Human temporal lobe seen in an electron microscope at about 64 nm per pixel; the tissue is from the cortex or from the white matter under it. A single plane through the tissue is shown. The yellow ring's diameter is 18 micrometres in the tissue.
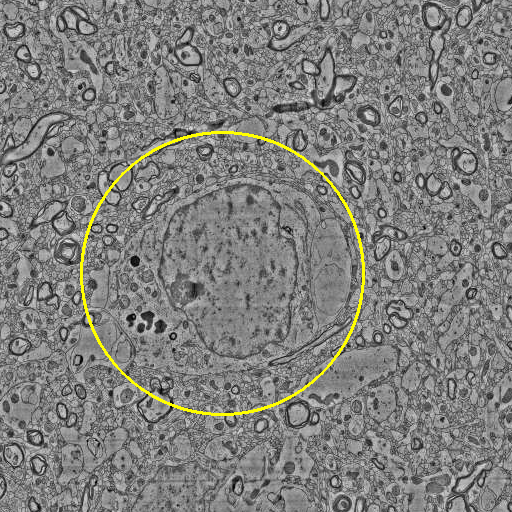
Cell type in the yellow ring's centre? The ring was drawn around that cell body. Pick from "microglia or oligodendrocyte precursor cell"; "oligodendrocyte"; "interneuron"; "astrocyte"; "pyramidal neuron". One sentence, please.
The ringed cell body is that of an interneuron.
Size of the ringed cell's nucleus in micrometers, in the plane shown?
Approximately 11 x 9 micrometres in this plane.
